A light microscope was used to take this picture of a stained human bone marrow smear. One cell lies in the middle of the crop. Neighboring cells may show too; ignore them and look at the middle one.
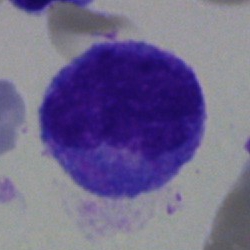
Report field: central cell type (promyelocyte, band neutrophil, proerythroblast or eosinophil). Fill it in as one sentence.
At the middle of the frame sits a promyelocyte.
